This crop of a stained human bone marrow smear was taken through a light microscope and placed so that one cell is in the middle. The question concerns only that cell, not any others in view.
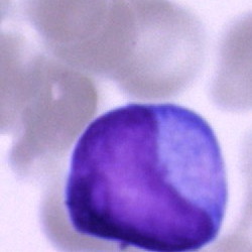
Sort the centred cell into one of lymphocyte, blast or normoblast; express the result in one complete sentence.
In this crop, the cell at the very middle is a blast.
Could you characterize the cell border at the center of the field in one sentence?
Edge check done: smooth outline, no projections present.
